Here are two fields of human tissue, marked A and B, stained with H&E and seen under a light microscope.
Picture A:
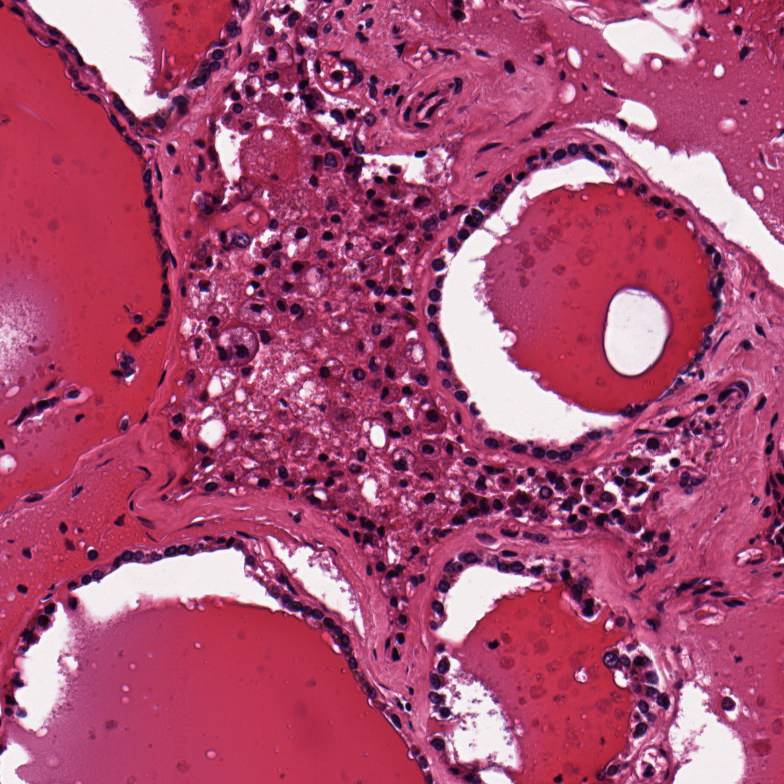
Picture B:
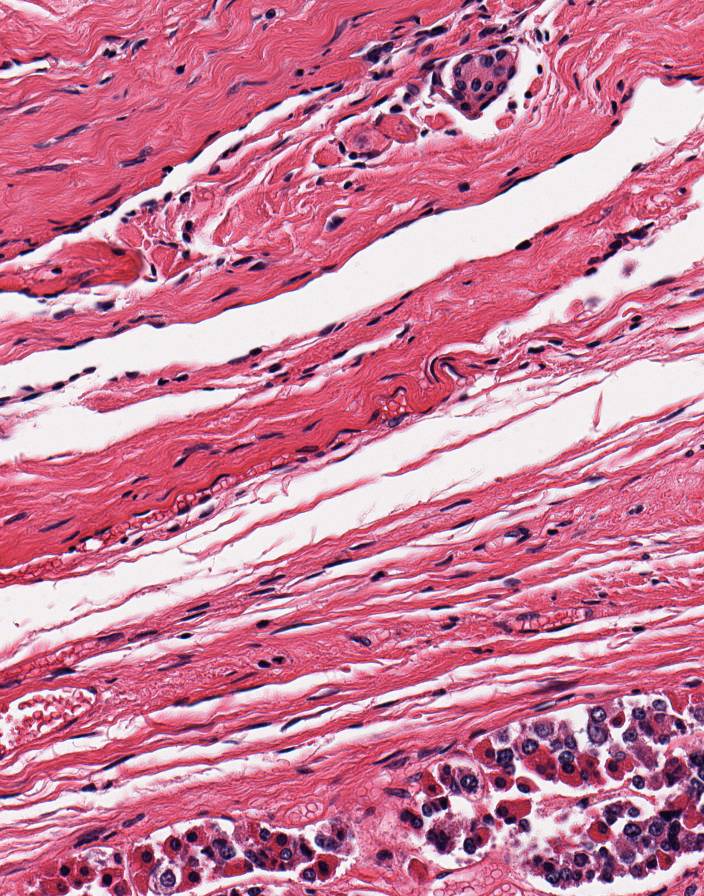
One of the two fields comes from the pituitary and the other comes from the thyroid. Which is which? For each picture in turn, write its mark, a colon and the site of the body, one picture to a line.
A: thyroid
B: pituitary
